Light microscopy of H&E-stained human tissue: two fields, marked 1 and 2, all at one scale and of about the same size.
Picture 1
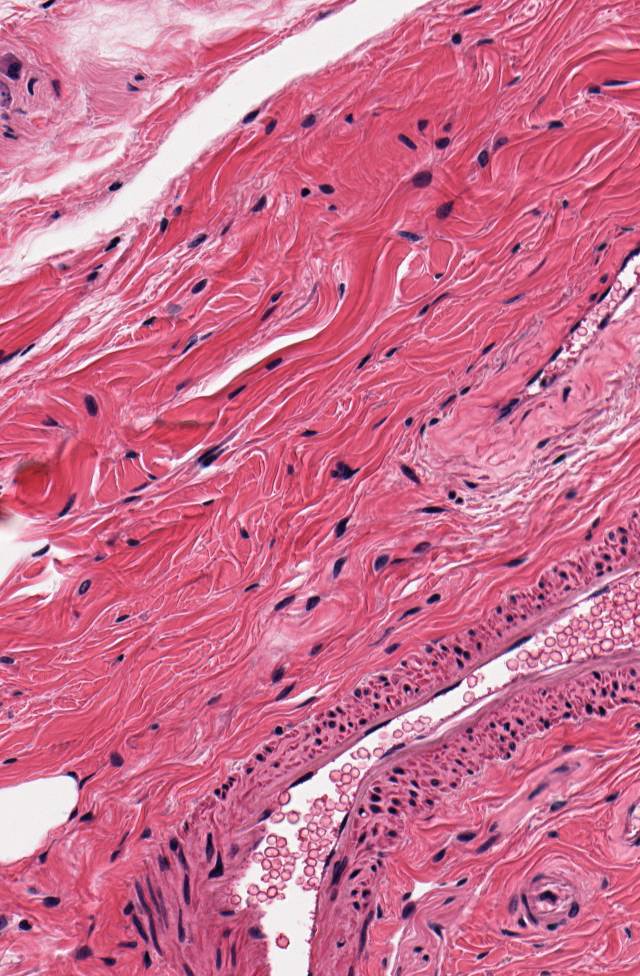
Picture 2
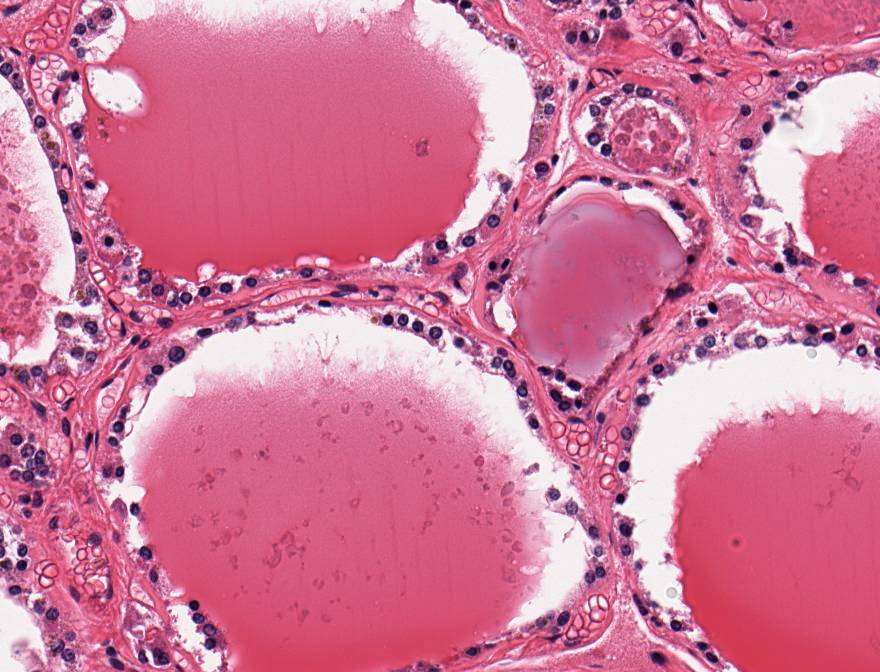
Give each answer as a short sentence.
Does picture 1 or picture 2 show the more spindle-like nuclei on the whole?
On the whole the nuclei of picture 1 are more drawn out than those of picture 2.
